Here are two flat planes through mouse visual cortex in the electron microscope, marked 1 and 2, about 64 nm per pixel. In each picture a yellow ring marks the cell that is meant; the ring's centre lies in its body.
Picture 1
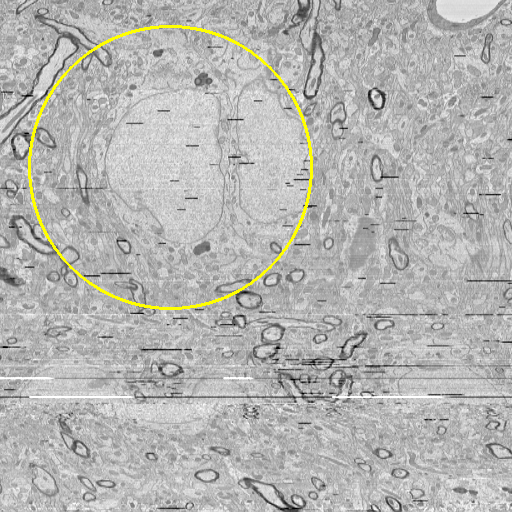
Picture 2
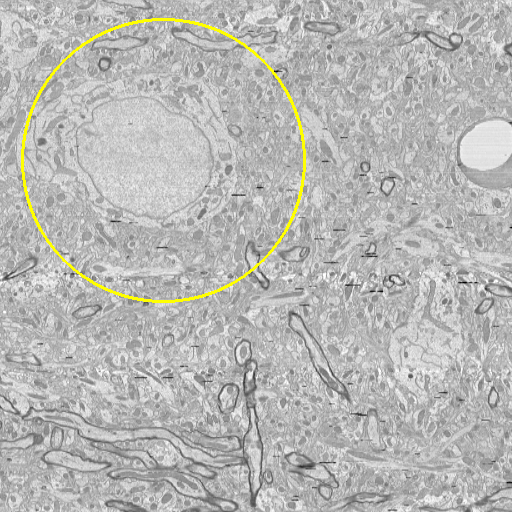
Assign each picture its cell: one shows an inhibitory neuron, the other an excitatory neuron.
Picture 1 shows an excitatory neuron and picture 2 shows an inhibitory neuron.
